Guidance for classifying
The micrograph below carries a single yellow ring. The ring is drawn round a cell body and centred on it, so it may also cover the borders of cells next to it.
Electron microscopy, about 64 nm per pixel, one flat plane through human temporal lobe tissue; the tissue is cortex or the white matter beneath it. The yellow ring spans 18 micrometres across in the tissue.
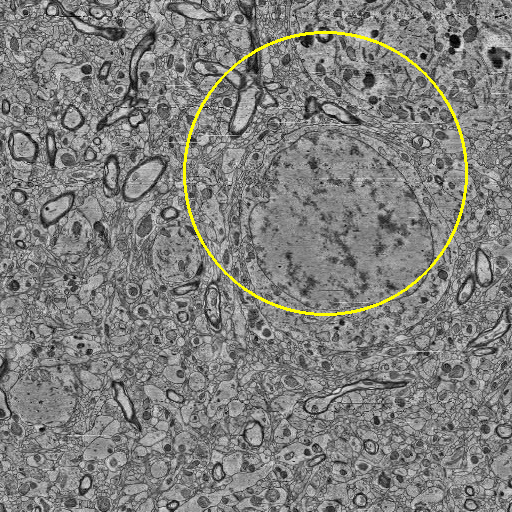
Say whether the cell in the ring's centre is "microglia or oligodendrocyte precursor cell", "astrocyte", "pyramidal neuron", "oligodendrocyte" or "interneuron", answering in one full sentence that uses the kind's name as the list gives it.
Within the yellow ring, a pyramidal neuron is the cell whose body sits at the centre.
